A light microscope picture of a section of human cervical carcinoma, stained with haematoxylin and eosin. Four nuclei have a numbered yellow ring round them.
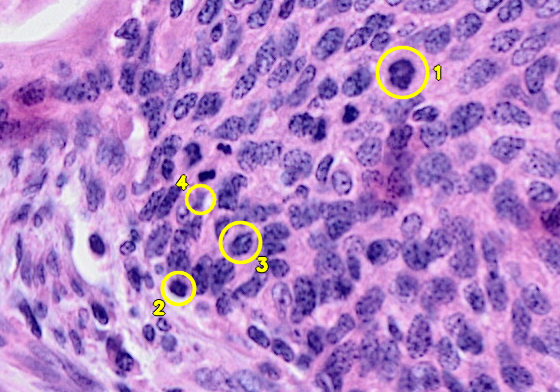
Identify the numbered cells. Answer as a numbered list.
1. squamous carcinoma cell
2. lymphocyte
3. squamous carcinoma cell
4. squamous carcinoma cell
